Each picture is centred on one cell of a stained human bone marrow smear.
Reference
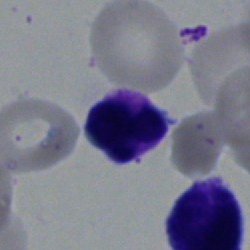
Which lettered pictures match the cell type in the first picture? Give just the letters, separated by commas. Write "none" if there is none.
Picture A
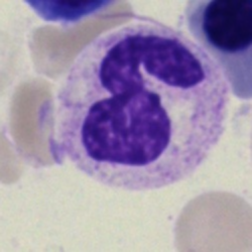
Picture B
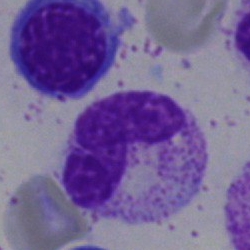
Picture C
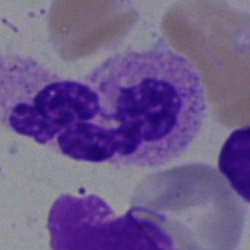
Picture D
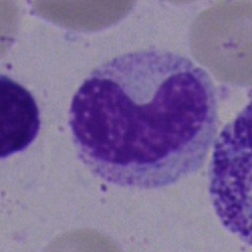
A, C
